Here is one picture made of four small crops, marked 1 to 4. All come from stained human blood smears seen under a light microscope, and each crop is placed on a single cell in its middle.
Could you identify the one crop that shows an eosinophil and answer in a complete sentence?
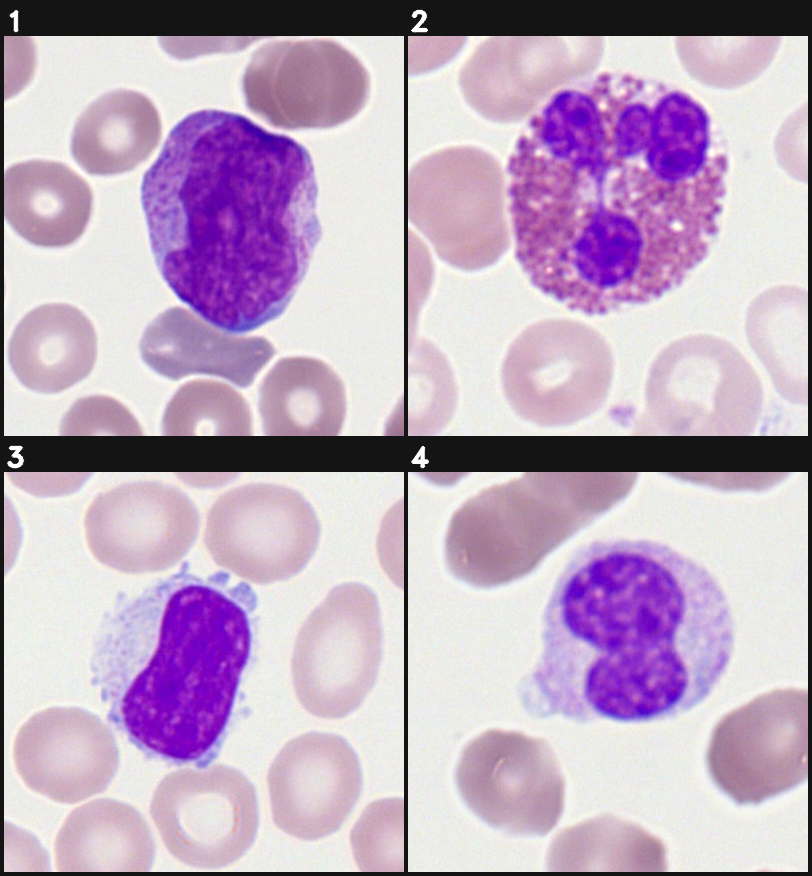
On review of the set, crop 2 is the one showing an eosinophil.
